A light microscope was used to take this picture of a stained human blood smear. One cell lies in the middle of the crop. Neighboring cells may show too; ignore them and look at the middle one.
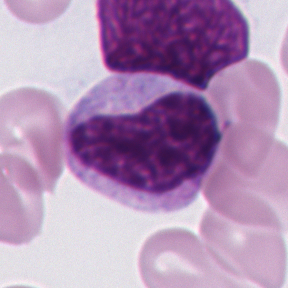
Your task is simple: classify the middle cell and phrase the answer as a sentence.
The center cell of this crop is a metamyelocyte.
